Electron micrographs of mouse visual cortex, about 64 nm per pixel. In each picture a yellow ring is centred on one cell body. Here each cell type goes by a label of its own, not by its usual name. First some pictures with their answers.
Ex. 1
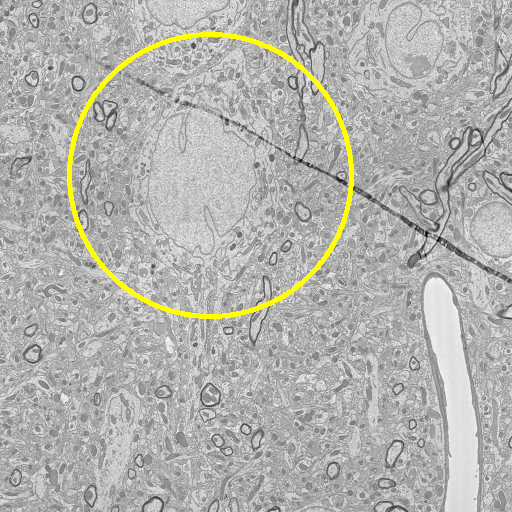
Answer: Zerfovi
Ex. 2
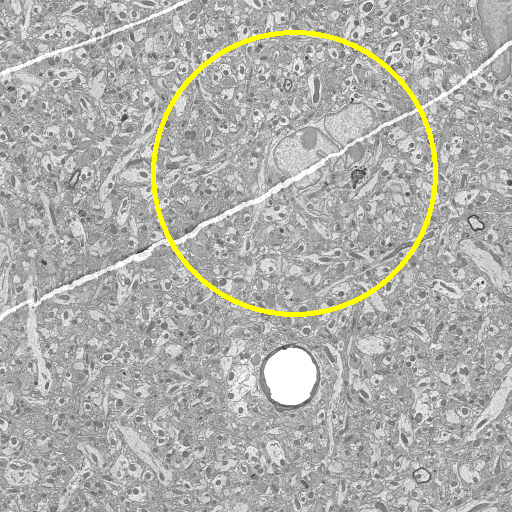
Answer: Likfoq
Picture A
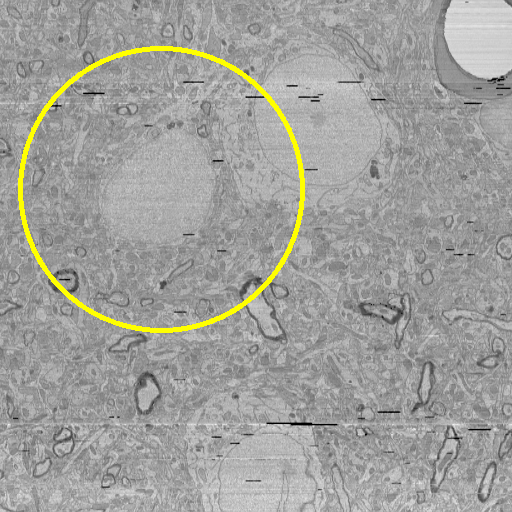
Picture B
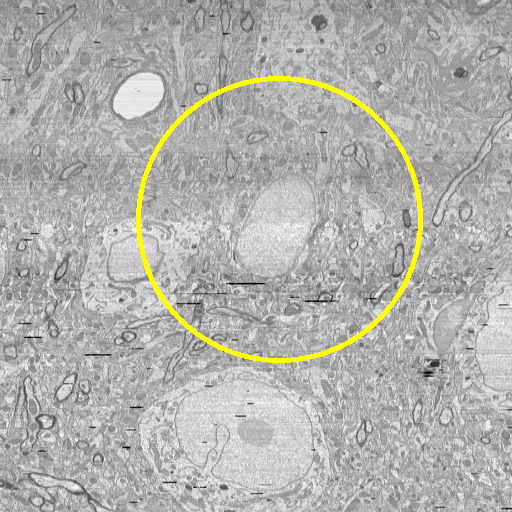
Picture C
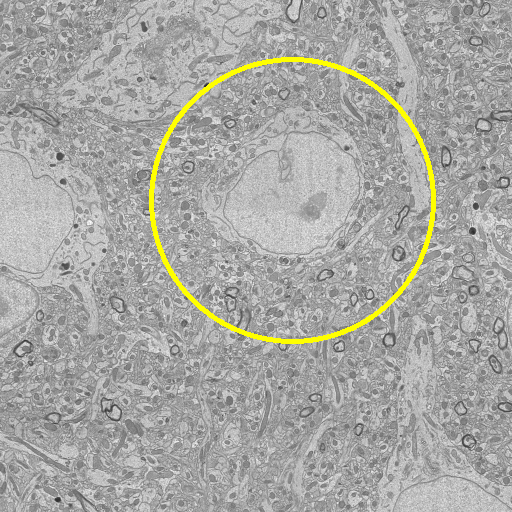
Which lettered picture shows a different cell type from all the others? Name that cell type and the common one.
Odd one out: C (Zerfovi). The rest: Likfoq.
